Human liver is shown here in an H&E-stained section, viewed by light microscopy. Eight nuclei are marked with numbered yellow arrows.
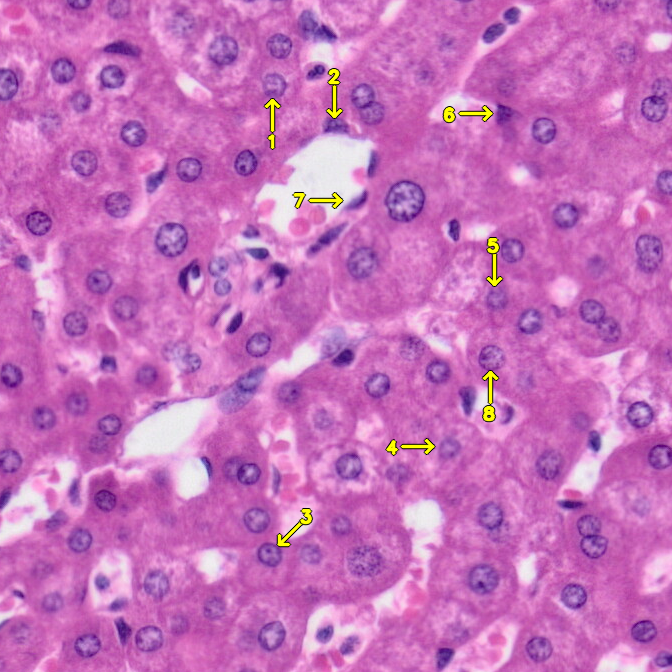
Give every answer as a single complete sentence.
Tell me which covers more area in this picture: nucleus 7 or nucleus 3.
Of the two, number 3 is bigger and takes up about 2.5 times the area of number 7.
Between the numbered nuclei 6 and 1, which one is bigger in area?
At about 1.5 times the area of nucleus 6, nucleus 1 is the larger of the two.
